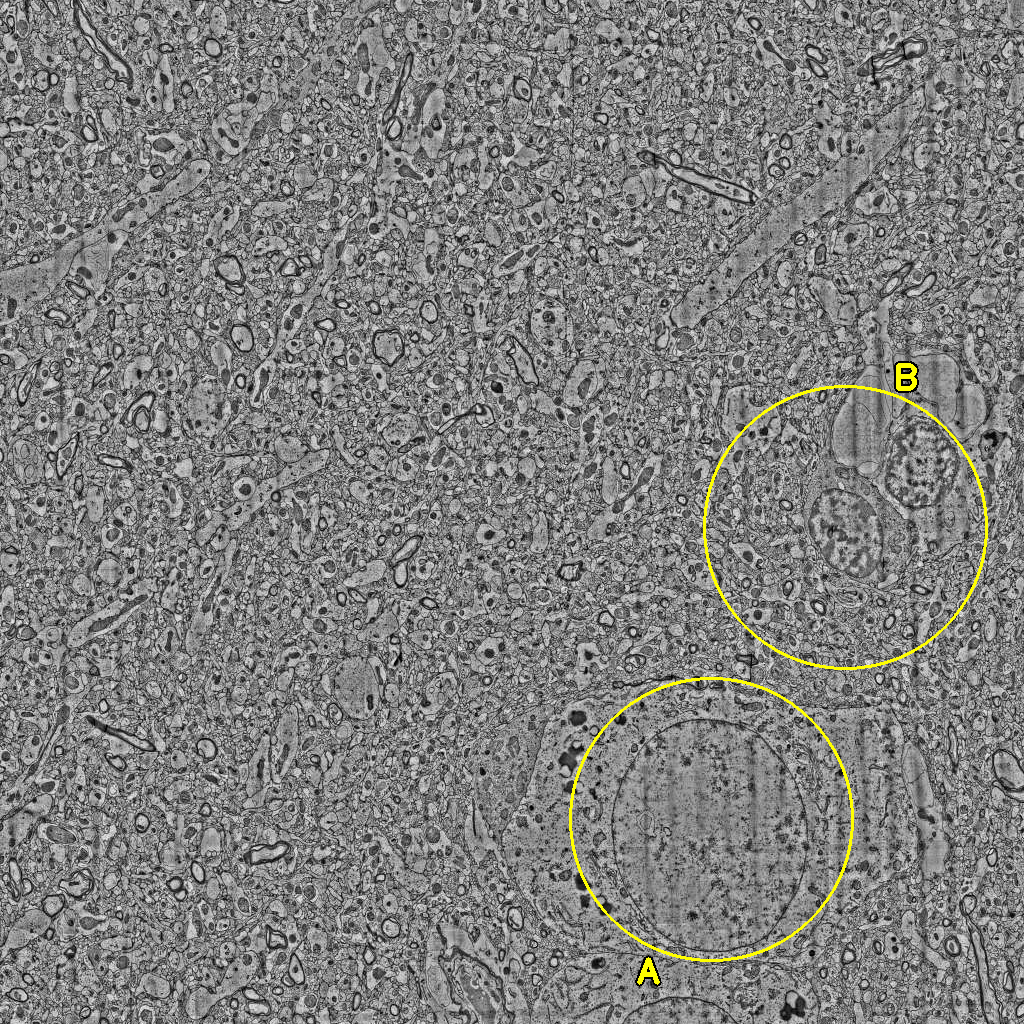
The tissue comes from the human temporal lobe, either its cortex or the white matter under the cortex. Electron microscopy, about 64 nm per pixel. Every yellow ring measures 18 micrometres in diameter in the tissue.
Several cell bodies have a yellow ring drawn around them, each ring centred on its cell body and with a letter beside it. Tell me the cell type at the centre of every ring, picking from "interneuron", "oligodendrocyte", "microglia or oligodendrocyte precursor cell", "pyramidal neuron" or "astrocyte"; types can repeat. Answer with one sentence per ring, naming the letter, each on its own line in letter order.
In ring A, the central cell is a pyramidal neuron.
In ring B, the central cell is an oligodendrocyte.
